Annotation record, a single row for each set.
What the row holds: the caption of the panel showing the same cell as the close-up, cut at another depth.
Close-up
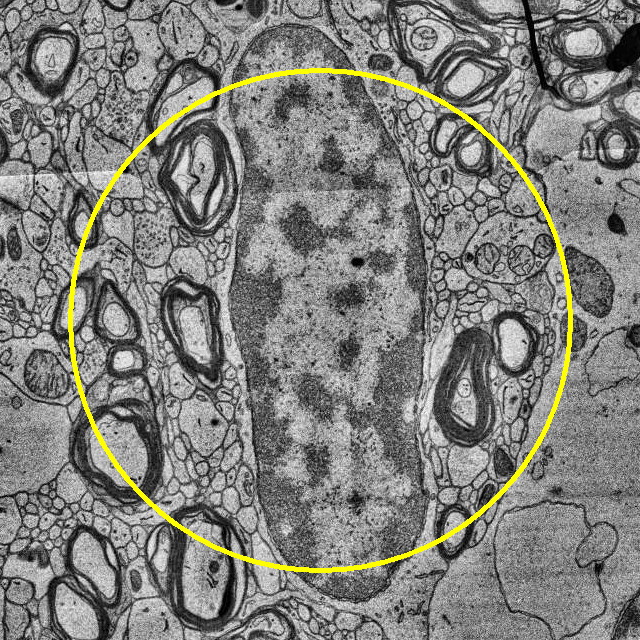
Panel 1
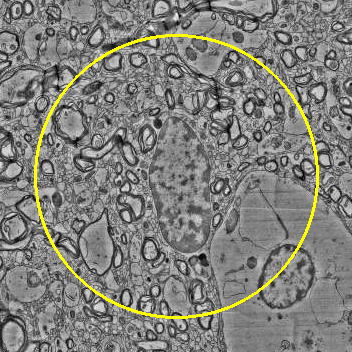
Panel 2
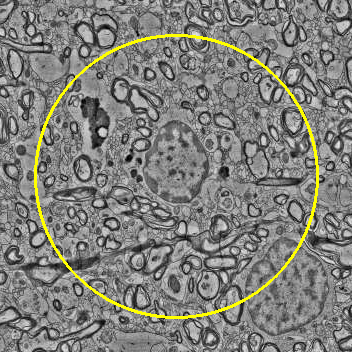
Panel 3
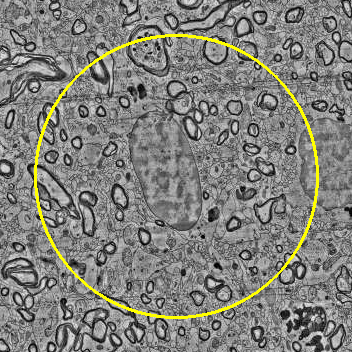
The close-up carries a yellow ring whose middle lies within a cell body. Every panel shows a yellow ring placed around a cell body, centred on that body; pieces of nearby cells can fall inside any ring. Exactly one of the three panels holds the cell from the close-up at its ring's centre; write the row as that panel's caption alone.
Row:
Panel 1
